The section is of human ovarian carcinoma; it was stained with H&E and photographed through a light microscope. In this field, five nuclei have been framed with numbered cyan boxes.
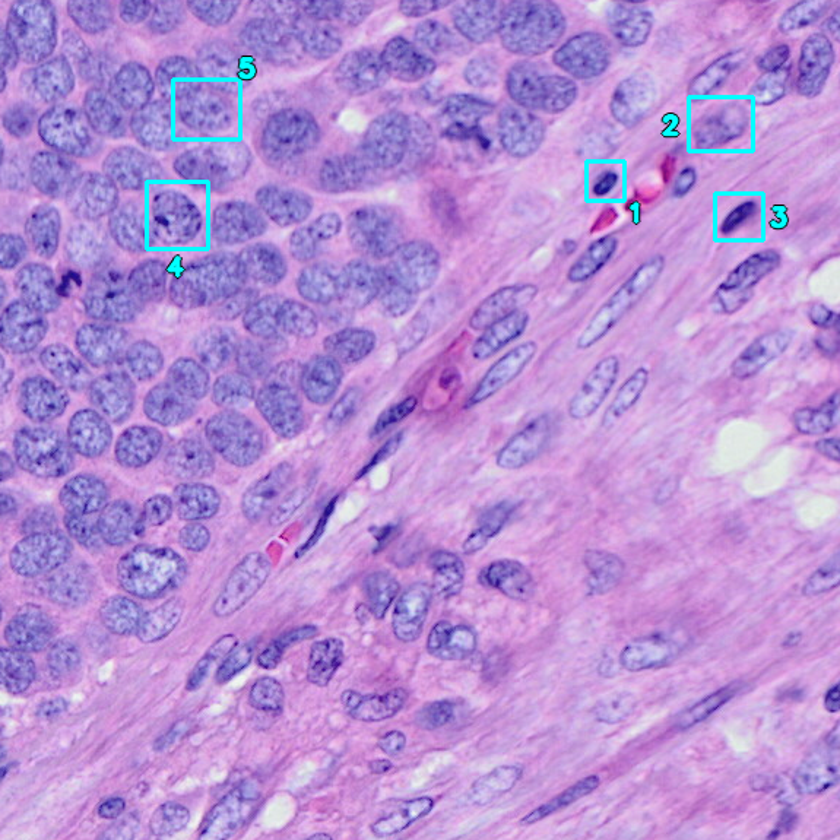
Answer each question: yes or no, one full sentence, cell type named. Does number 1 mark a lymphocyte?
Yes, within this section, cell number 1 is a lymphocyte.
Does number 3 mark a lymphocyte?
Yes, the cell carrying number 3 is a lymphocyte.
